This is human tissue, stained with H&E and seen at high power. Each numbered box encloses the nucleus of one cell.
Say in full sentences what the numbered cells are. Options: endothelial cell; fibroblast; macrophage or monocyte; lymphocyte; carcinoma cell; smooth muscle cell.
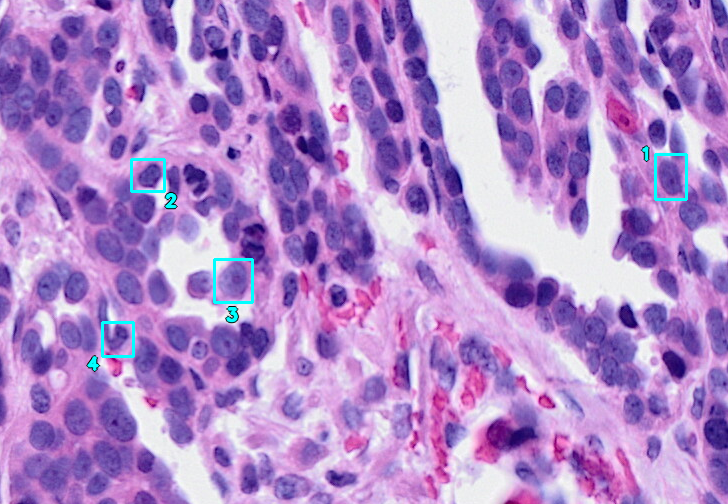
Cells 1, 2 and 3 are carcinoma cells. Cell 4 is a macrophage or monocyte.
